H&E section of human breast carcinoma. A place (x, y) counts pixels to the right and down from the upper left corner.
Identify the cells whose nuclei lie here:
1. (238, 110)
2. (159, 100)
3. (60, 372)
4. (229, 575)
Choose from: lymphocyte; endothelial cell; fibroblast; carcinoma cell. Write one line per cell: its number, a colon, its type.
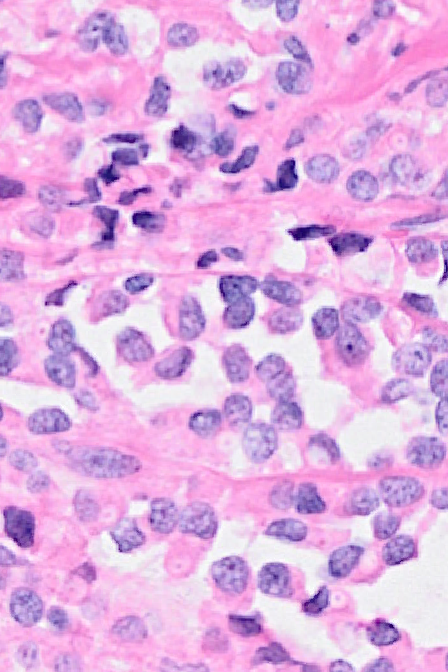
1: endothelial cell
2: carcinoma cell
3: carcinoma cell
4: carcinoma cell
